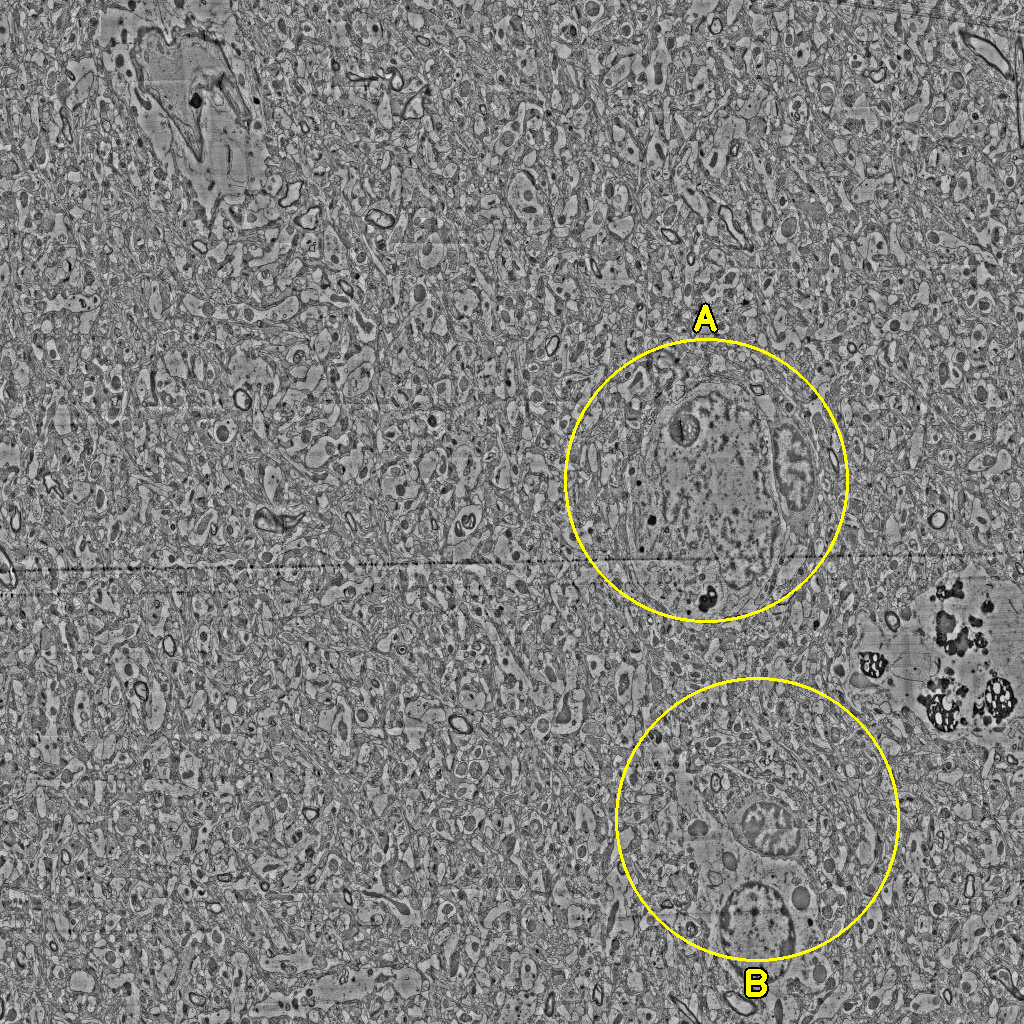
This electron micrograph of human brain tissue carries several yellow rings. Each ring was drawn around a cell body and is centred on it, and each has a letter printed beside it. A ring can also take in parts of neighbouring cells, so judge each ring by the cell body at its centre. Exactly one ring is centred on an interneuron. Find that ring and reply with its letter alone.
A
